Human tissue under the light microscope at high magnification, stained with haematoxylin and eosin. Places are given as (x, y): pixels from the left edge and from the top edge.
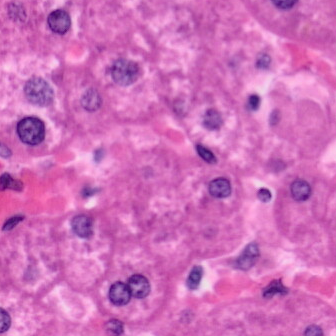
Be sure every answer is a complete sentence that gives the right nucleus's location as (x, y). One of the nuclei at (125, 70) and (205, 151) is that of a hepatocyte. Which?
Lying within a hepatocyte is the nucleus at (125, 70).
